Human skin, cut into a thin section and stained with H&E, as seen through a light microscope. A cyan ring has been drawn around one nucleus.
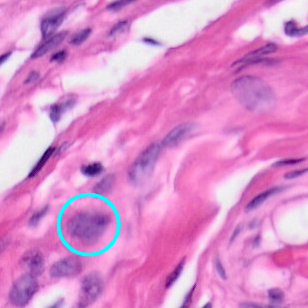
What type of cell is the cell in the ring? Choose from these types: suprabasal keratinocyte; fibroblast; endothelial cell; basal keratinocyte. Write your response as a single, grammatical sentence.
As a matter of cell type, the cell in the ring is a fibroblast.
